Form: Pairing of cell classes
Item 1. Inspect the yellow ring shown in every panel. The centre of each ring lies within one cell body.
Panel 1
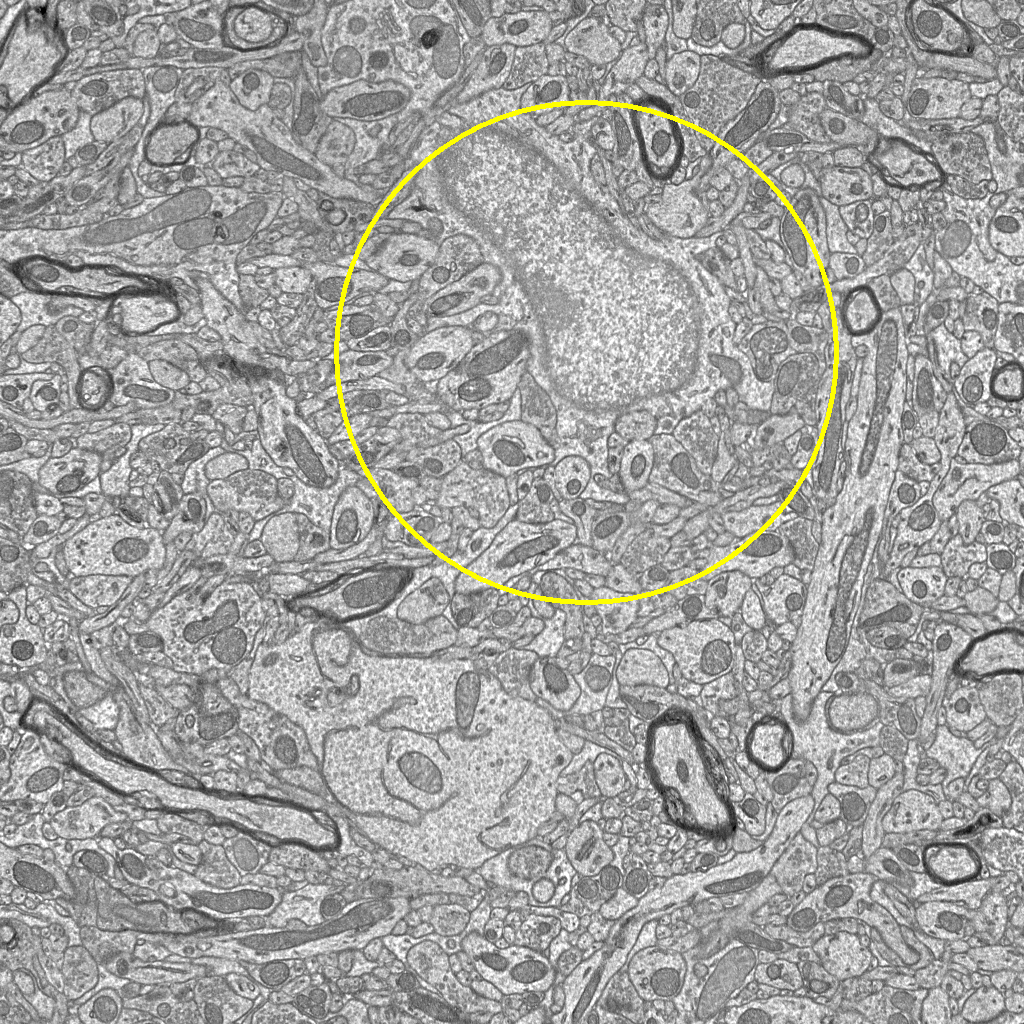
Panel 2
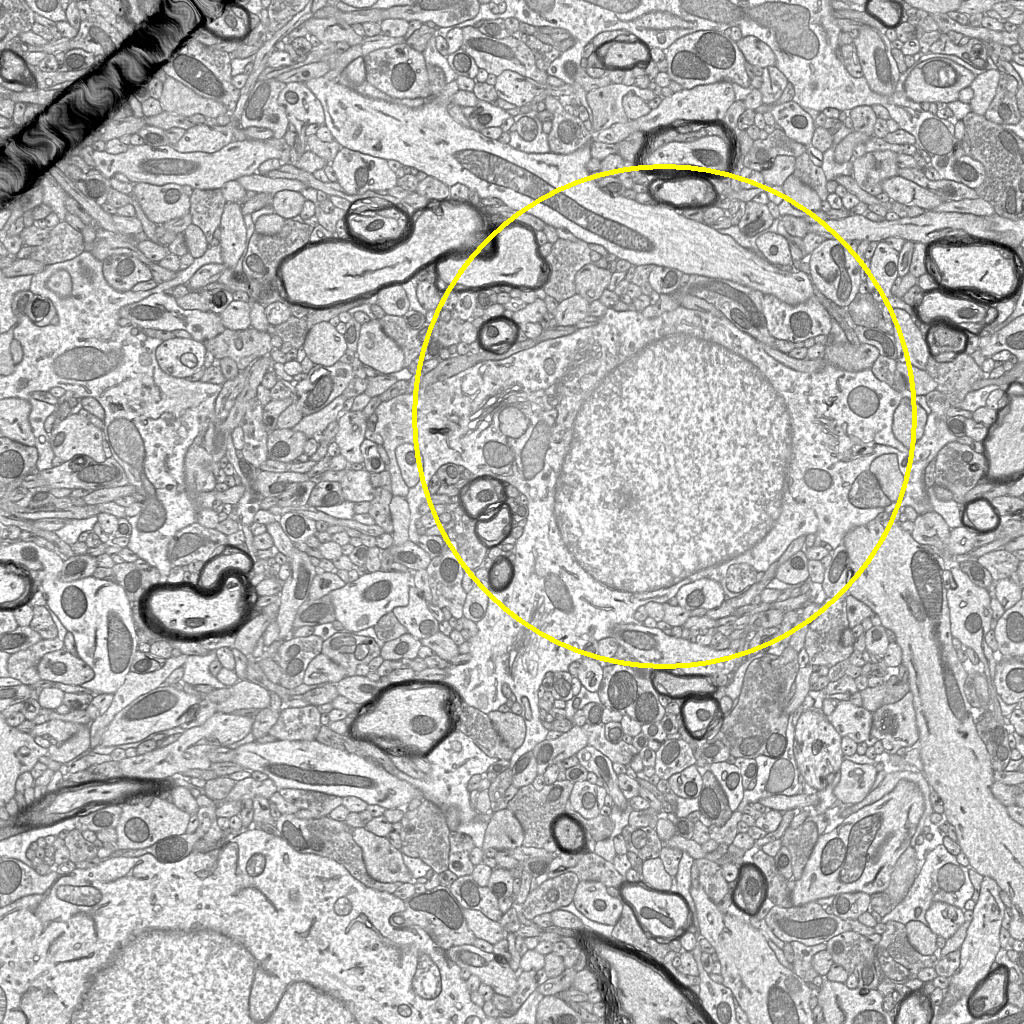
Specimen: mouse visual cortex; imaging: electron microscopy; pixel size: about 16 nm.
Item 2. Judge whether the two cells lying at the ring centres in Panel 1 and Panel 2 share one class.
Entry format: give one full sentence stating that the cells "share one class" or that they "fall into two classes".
The cells at the ring centres in Panel 1 and Panel 2 share one class.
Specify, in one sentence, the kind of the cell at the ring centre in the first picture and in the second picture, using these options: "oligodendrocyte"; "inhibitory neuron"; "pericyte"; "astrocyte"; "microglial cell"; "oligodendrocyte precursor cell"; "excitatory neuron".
Both rings mark an astrocyte, one in each picture.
